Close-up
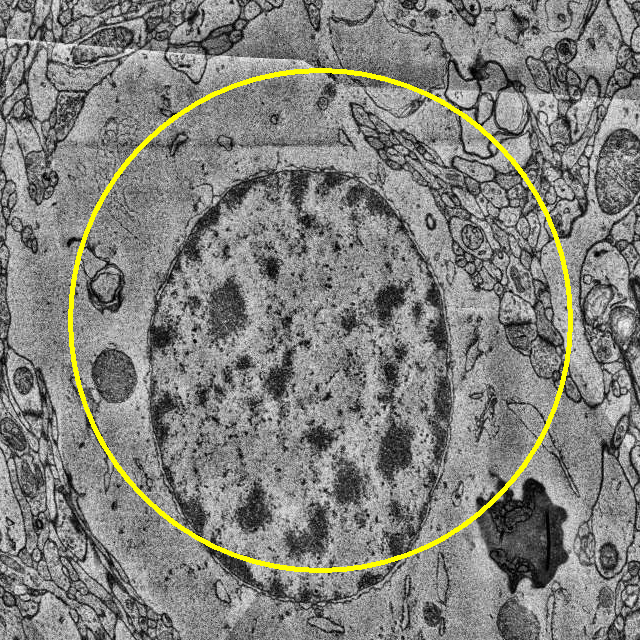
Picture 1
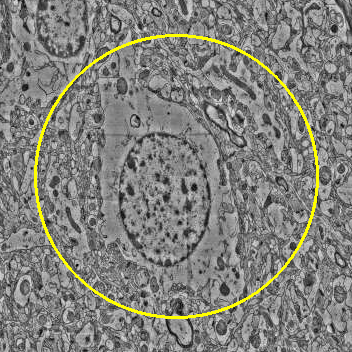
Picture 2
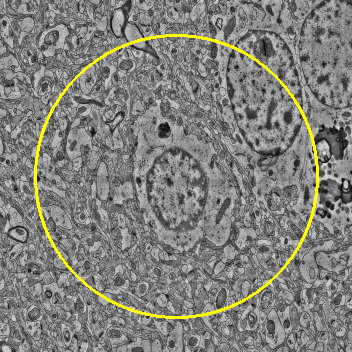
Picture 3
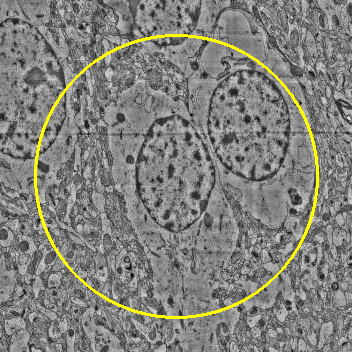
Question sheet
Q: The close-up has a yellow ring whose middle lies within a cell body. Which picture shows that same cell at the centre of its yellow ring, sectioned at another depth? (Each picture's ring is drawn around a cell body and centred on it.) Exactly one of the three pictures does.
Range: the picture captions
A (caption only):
Picture 1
